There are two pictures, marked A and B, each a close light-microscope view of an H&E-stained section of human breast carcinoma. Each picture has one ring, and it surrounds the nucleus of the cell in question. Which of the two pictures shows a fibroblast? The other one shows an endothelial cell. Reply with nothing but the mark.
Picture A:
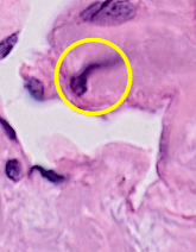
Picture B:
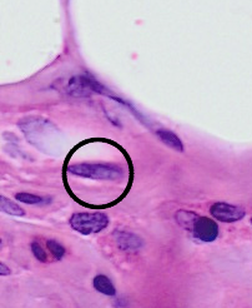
A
